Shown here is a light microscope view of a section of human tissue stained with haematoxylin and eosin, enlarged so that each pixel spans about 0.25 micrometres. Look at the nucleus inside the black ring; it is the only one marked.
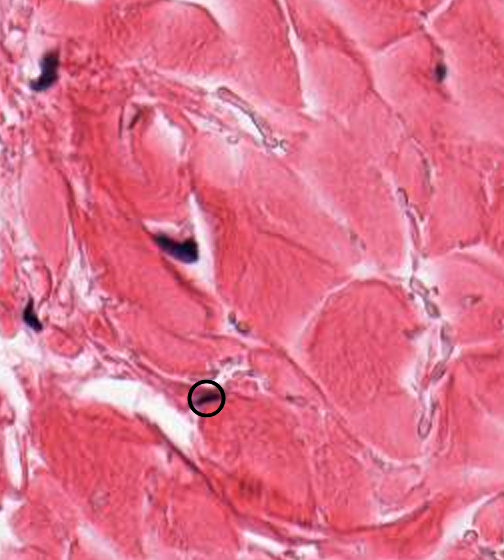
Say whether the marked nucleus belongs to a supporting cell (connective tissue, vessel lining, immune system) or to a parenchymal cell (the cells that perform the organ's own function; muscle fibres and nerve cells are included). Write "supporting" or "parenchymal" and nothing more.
supporting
